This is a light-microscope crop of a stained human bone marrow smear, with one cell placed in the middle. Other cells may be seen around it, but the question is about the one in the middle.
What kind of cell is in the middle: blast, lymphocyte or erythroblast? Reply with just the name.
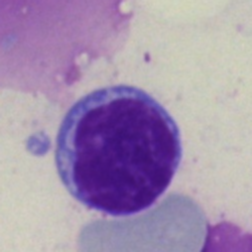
lymphocyte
